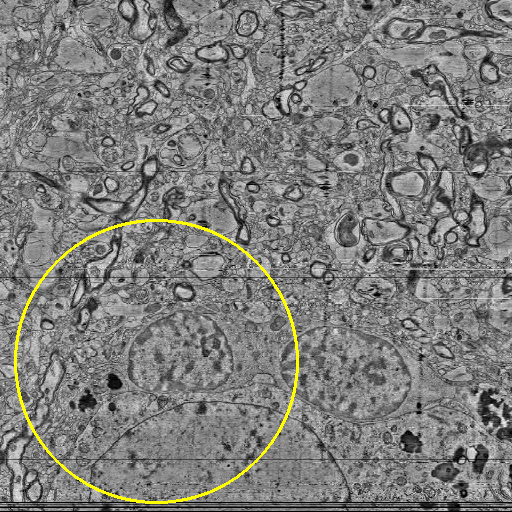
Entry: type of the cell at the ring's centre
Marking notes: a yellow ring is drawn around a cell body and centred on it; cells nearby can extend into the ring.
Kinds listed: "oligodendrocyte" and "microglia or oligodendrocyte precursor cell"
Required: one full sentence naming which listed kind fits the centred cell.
My entry names an oligodendrocyte as the cell whose body the yellow ring centres on.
